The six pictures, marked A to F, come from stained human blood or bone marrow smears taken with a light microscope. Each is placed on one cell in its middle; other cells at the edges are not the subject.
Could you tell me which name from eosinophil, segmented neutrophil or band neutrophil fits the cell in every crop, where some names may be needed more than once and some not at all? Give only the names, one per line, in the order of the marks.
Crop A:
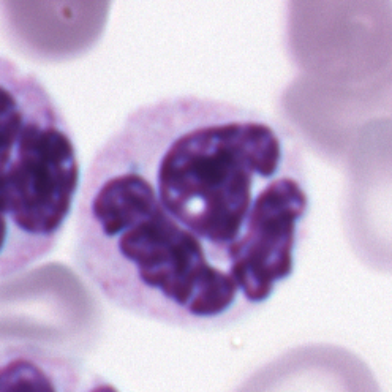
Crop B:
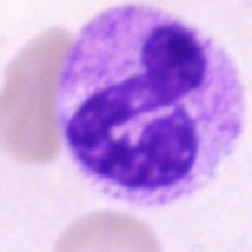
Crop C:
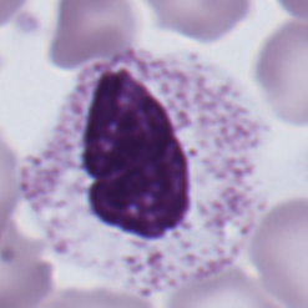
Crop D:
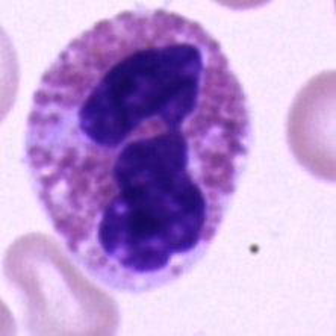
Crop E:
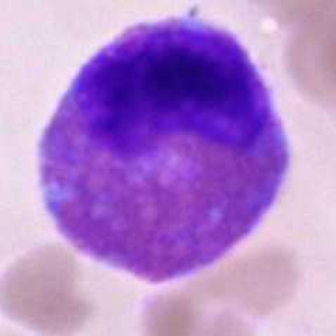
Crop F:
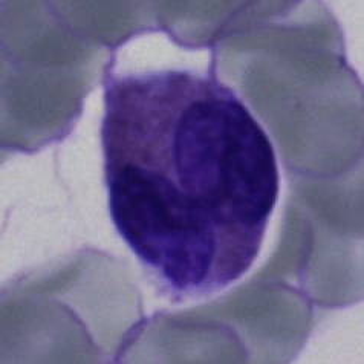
segmented neutrophil
band neutrophil
segmented neutrophil
eosinophil
eosinophil
eosinophil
